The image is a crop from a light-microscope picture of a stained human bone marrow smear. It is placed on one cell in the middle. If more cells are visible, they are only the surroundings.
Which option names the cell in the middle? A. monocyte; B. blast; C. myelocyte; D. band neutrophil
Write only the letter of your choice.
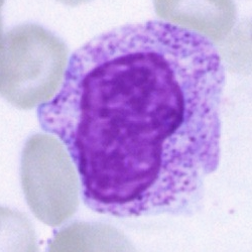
C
